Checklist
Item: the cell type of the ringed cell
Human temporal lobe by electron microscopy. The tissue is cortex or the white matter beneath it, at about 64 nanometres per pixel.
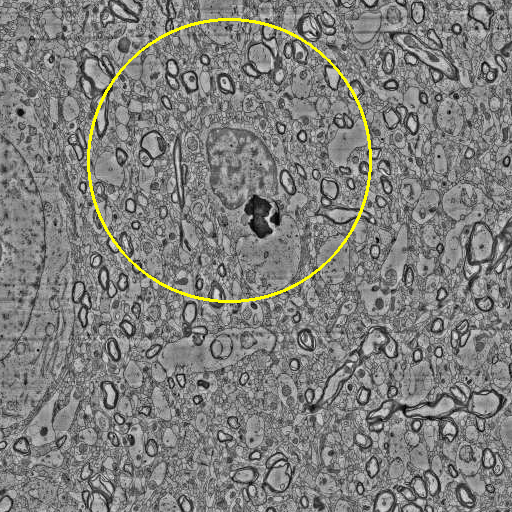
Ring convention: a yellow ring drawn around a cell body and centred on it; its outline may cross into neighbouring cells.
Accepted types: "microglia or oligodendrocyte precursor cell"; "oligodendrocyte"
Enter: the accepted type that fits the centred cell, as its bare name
oligodendrocyte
